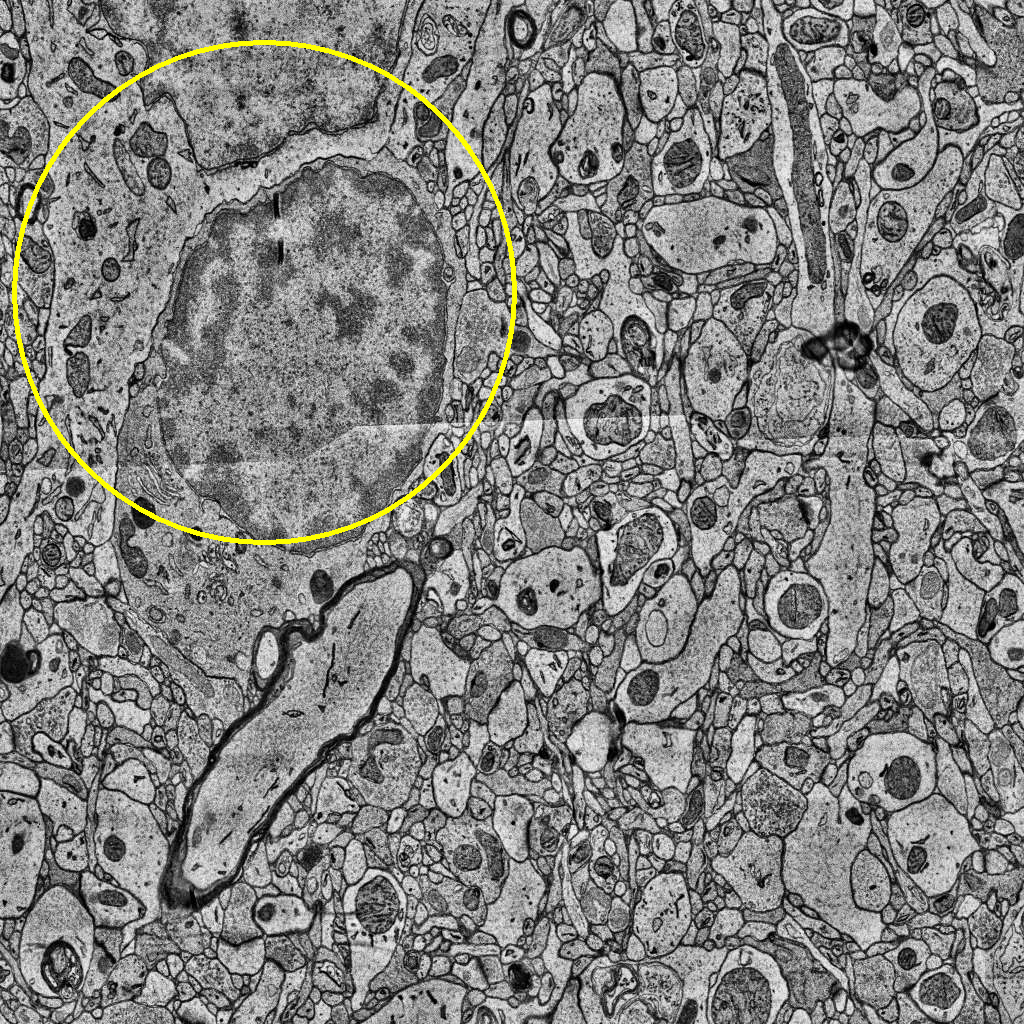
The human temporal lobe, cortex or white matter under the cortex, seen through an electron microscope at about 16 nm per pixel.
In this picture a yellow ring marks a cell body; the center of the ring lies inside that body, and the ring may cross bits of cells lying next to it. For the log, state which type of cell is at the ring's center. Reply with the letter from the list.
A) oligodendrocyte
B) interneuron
A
